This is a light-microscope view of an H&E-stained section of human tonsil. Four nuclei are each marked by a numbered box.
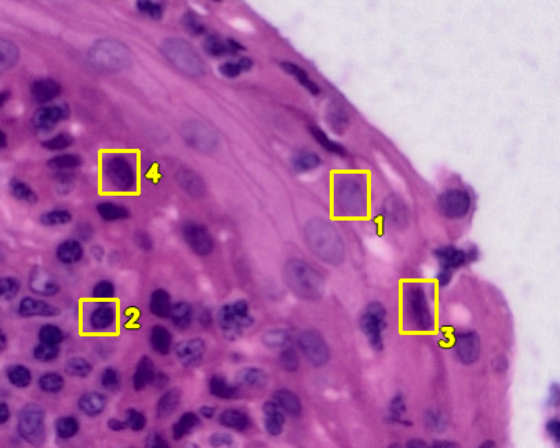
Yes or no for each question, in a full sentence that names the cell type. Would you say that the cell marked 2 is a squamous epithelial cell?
No, the nucleus numbered 2 belongs to a plasma cell, not a squamous epithelial cell.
